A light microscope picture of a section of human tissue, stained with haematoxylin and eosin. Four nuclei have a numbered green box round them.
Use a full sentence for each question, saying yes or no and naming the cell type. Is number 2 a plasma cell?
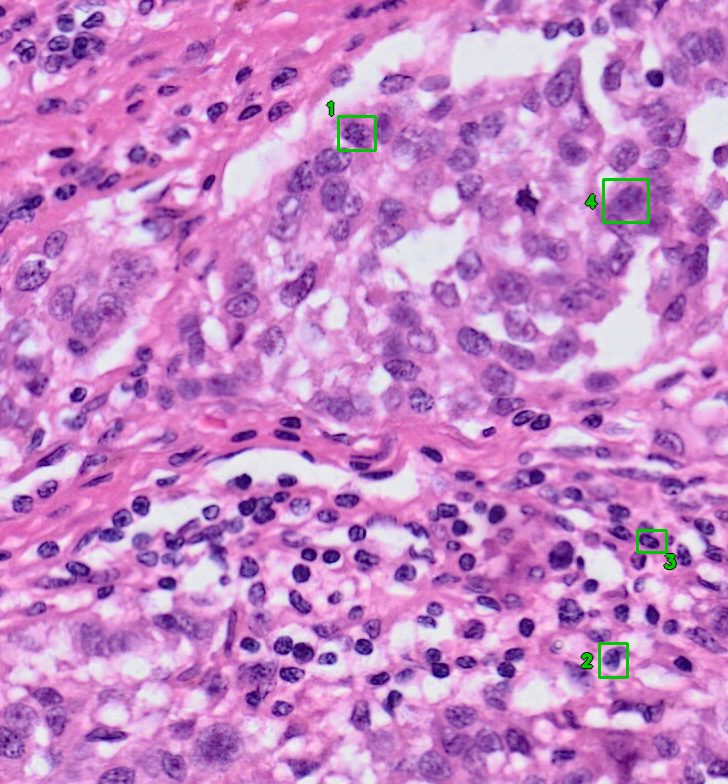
No, cell number 2 is identified as a lymphocyte, not as a plasma cell.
